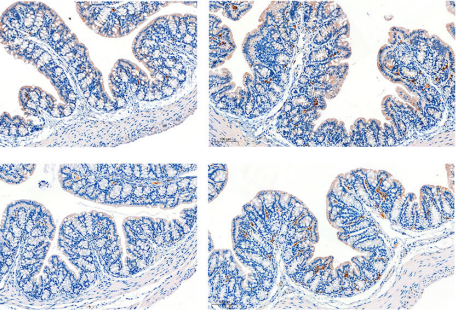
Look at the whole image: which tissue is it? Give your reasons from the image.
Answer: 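Folded mucosa with closely packed tubular crypts. Crypt epithelium with many pale goblet-like cells. A smooth muscle layer underlies the mucosa. So: colon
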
